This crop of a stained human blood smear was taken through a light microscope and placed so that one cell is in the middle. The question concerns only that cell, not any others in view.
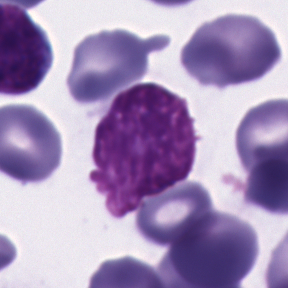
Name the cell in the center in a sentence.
The middle cell in this particular crop is a smudge cell.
